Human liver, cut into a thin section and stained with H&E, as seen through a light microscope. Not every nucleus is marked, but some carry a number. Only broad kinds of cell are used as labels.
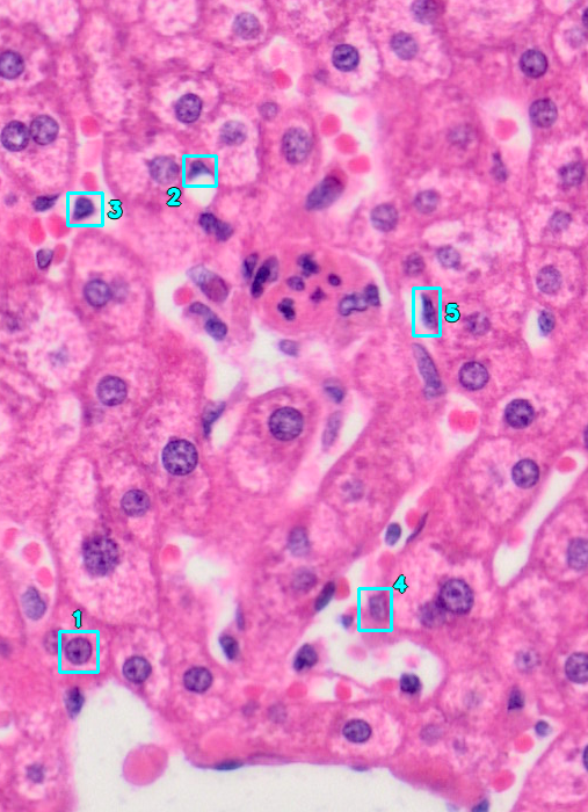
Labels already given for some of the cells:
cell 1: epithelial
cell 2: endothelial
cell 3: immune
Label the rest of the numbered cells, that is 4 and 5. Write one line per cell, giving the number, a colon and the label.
4: immune
5: endothelial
